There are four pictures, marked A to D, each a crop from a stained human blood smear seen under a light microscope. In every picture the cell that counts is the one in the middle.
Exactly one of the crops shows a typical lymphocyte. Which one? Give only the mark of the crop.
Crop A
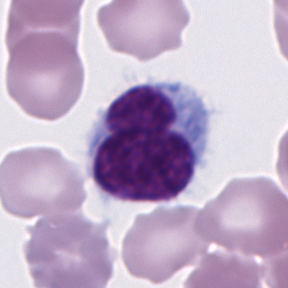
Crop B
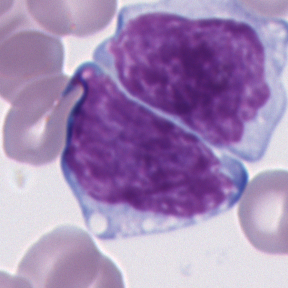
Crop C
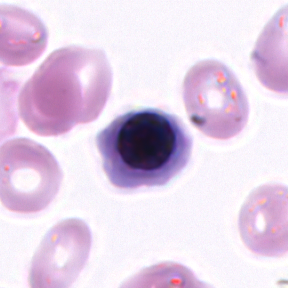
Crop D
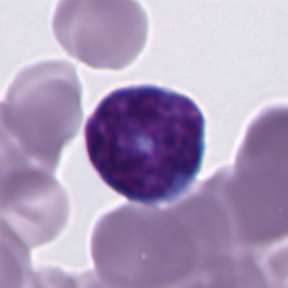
D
